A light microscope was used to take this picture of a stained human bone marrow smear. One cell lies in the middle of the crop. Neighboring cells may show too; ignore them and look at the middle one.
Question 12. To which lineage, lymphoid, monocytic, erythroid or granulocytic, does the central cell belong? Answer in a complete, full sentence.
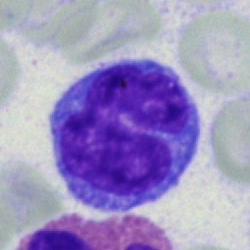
As for the middle cell, it is a member of the monocytic lineage.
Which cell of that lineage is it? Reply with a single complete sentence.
The center cell of this crop is a monocyte.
